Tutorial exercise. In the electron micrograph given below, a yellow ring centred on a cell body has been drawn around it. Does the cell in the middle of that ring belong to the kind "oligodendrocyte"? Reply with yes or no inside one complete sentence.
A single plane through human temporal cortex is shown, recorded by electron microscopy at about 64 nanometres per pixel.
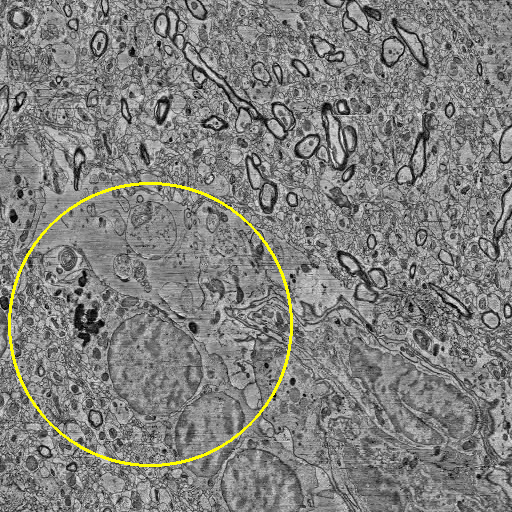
Yes, the cell at the centre of the ring in the picture is of that kind.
